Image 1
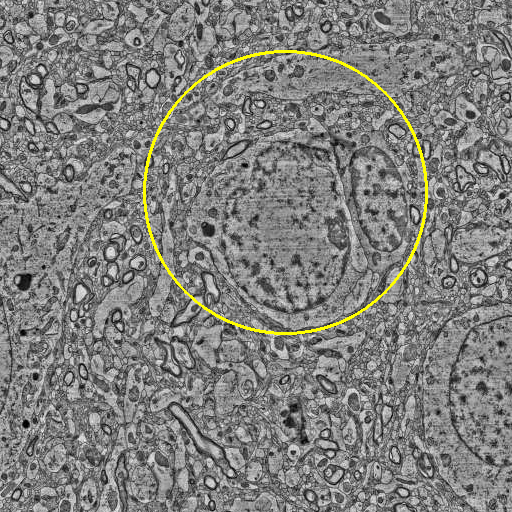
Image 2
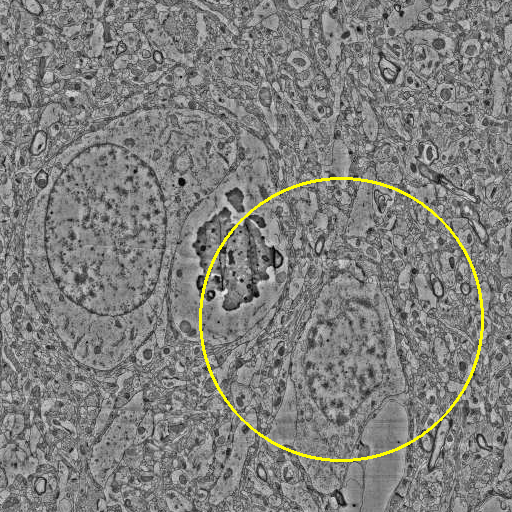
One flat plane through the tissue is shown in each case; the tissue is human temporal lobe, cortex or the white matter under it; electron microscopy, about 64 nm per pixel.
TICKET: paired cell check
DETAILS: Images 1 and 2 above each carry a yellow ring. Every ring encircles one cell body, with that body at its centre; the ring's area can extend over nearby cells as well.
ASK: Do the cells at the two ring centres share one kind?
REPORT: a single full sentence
Yes, the ring-centre cells of Images 1 and 2 belong to a single kind.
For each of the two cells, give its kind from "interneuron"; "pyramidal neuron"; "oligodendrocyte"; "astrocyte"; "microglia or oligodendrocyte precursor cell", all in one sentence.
Both pictures show an interneuron at the centre of the ring.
